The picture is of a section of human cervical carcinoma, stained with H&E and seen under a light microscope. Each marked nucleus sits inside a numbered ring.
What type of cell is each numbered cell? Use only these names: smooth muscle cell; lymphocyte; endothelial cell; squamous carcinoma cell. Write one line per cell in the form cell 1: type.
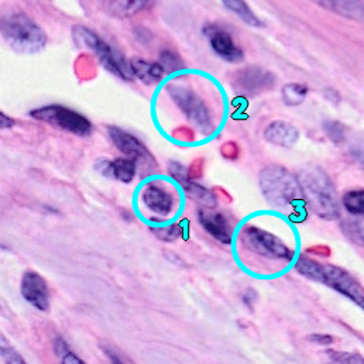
cell 1: lymphocyte
cell 2: endothelial cell
cell 3: endothelial cell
